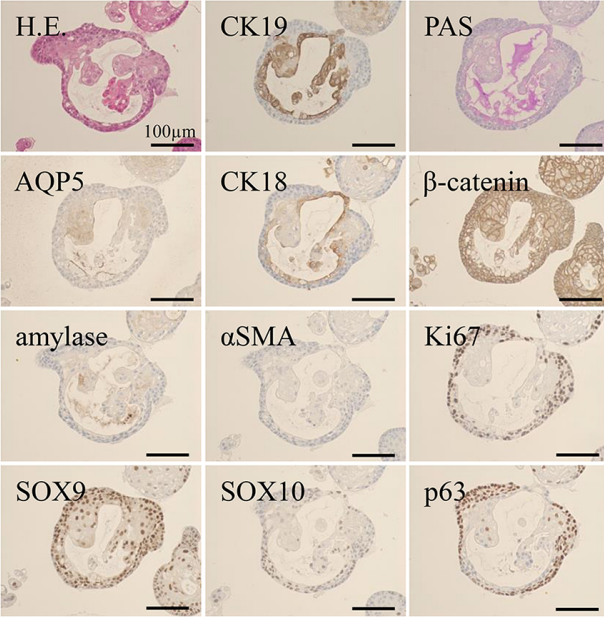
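The outer wall is several cells thick, with round to oval nuclei crowded toward the periphery. Inward the epithelium folds into irregular projections that bulge into the lumen. In some fields brown stain outlines cell borders throughout the wall, in others it lies in nuclei mainly of the outer cell layer, and in others it is strongest along the inner, luminal surface. In the magenta-stained field, the luminal material and inner surface stain magenta against a pale wall. Smaller rounded bodies of similar build lie beside the main one.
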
